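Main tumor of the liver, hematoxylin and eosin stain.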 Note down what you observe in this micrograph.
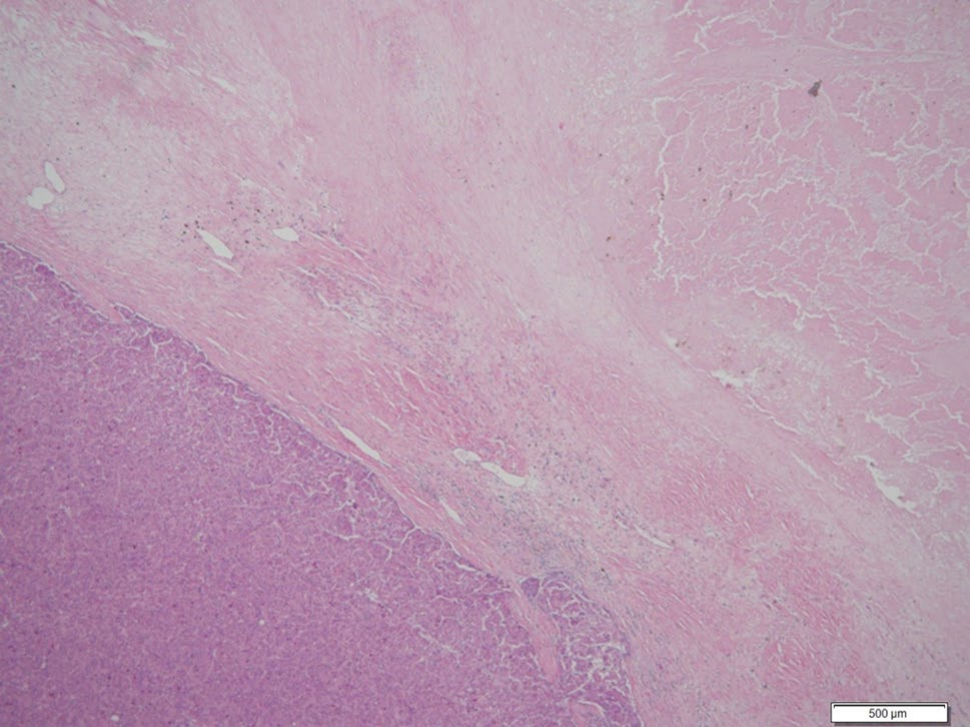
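At low magnification, the lower left holds a dense, purple, closely packed sheet of polygonal cells with many nuclei. Faint pale clefts run through this sheet. A broad band of pink, streaming fibrous tissue runs diagonally across the field beside it. This band contains slit-like empty spaces and scattered small dark dots. The upper right is occupied by pale pink, homogeneous material that has cracked into irregular branching fissures, and hardly any nuclei can be made out in it.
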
